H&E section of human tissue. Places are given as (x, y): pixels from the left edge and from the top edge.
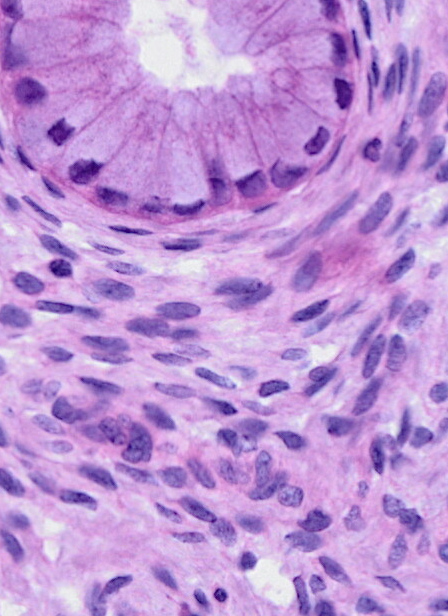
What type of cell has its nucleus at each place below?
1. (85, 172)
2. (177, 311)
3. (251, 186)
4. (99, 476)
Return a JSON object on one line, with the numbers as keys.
{"1": "secretory epithelial cell", "2": "fibroblast", "3": "secretory epithelial cell", "4": "fibroblast"}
